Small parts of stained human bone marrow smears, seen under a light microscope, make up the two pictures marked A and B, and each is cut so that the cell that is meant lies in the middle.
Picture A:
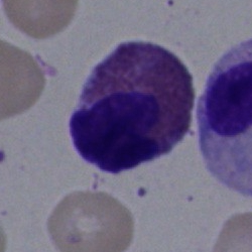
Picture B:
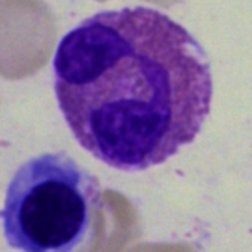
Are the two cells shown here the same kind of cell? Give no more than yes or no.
yes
